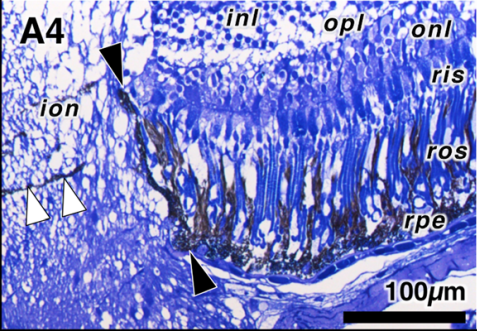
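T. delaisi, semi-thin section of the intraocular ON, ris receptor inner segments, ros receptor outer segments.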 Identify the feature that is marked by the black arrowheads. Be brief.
Pigment sheath.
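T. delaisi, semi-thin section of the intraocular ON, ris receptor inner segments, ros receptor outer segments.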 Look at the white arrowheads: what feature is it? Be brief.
Pigment processes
